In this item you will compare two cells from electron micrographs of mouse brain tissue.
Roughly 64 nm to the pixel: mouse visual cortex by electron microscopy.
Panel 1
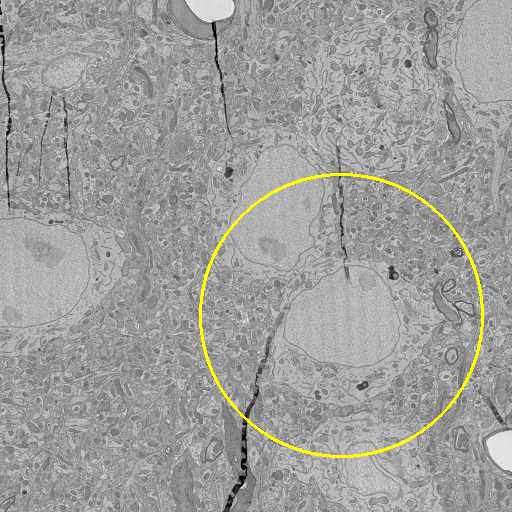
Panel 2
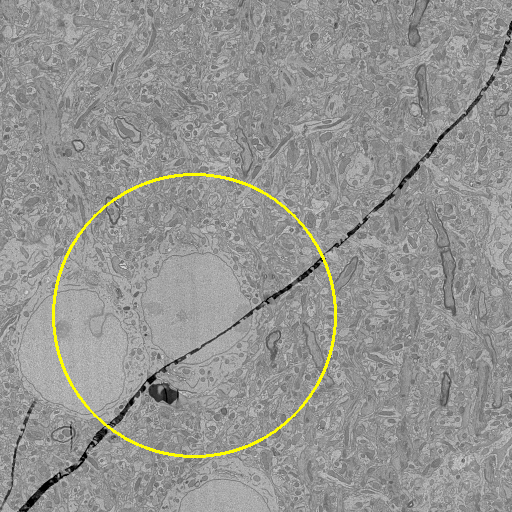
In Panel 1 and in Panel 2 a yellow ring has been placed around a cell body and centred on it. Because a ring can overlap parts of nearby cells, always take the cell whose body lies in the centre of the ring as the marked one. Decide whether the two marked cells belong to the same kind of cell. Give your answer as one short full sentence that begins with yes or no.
Yes, the two marked cells belong to the same kind of cell.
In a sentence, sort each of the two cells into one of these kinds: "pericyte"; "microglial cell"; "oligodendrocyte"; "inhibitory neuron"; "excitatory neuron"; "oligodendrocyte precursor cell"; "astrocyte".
In the first picture and in the second, the ring is centred on an excitatory neuron.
